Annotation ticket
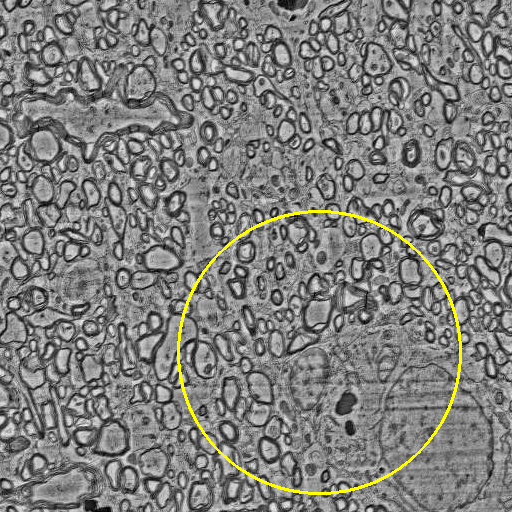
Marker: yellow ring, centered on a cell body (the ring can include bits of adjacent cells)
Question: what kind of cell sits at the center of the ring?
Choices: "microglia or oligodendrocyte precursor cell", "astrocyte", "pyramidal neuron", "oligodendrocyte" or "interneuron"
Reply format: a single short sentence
The ring is centered on a microglial cell or oligodendrocyte precursor cell.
